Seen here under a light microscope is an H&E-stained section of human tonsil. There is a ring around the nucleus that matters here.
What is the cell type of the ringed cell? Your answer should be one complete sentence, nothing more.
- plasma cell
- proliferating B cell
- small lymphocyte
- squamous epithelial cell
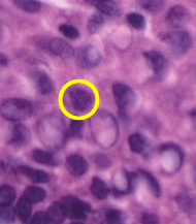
Within the stained tissue, the ringed cell is a squamous epithelial cell.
